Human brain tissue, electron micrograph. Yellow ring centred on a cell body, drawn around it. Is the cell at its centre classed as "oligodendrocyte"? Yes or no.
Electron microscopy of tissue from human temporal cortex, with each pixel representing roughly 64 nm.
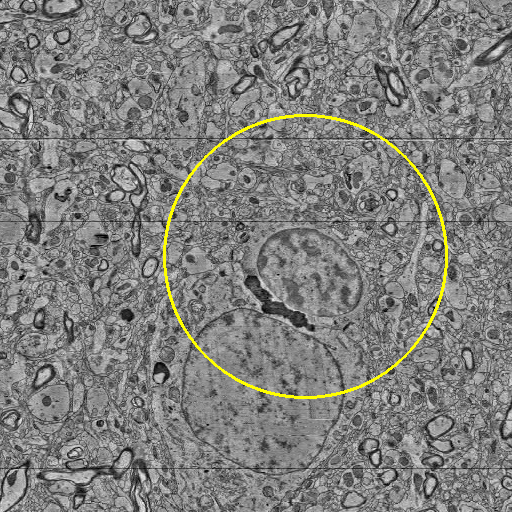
Yes, it is classed as that.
